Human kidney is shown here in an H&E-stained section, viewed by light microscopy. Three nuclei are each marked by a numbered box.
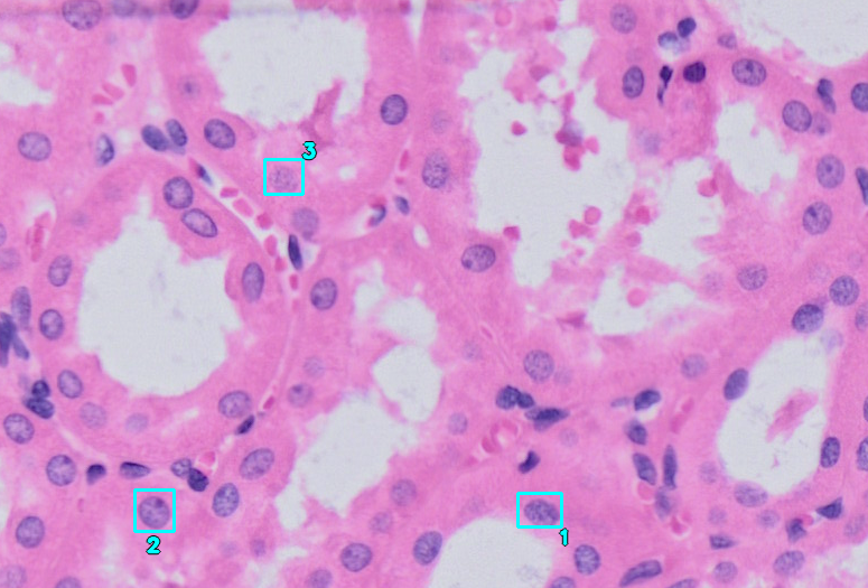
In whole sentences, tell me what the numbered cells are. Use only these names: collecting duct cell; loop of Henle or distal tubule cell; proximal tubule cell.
Cell 1 is a loop of Henle or distal tubule cell, cell 2 is a proximal tubule cell and cell 3 is a proximal tubule cell.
